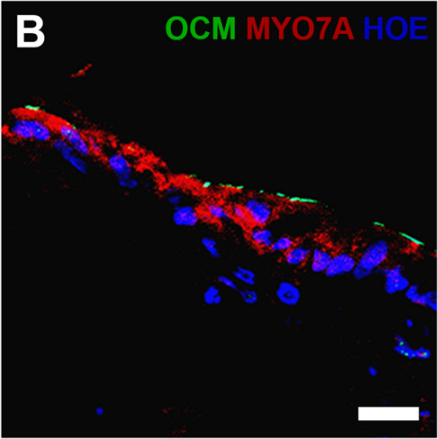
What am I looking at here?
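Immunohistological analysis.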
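This is a thin layer of epithelial cells running diagonally across the field, some of which may be outer cochlear hair cells. Their blue nuclei are oval and sit in one or two rows along the layer. Red fills the cytoplasm of many of the cells, most strongly above the nuclei on the upper side of the layer. Small green streaks lie at the upper surface of the layer, on top of the red cells. Below the layer a few scattered nuclei lie in otherwise dark tissue.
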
